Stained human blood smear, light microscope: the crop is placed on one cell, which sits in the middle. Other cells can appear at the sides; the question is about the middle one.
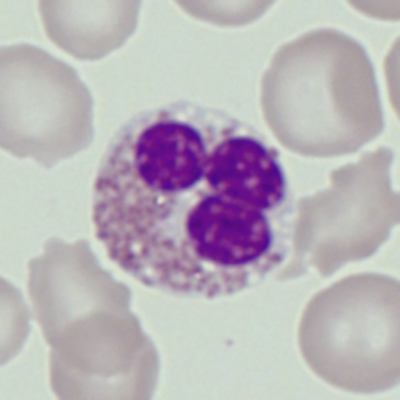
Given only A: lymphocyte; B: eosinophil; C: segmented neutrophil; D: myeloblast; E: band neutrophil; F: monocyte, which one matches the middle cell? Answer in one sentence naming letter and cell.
This one is option B, since the cell at the center is an eosinophil.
